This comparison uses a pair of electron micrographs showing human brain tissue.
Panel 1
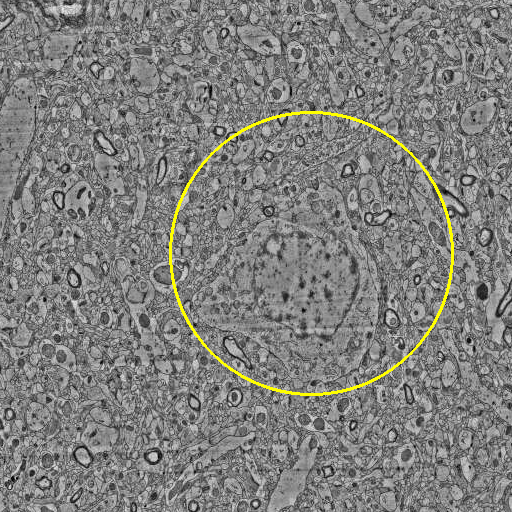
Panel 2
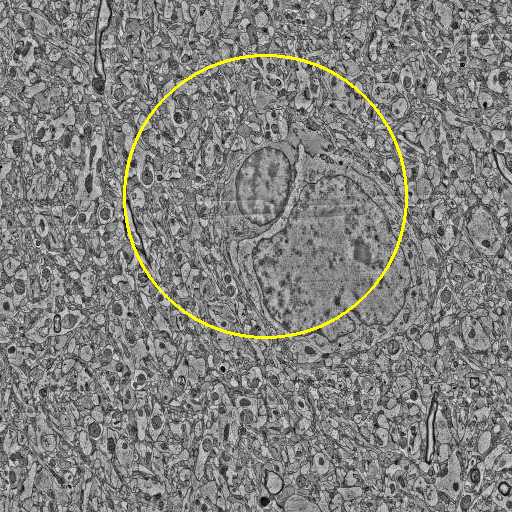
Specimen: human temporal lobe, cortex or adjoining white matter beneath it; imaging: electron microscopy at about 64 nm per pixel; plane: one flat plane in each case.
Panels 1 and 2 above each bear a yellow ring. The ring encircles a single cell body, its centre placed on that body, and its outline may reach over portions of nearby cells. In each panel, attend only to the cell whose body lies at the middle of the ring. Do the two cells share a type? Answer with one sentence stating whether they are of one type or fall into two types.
In Panel 1 and Panel 2, the cells at the centres of the rings fall into two types.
